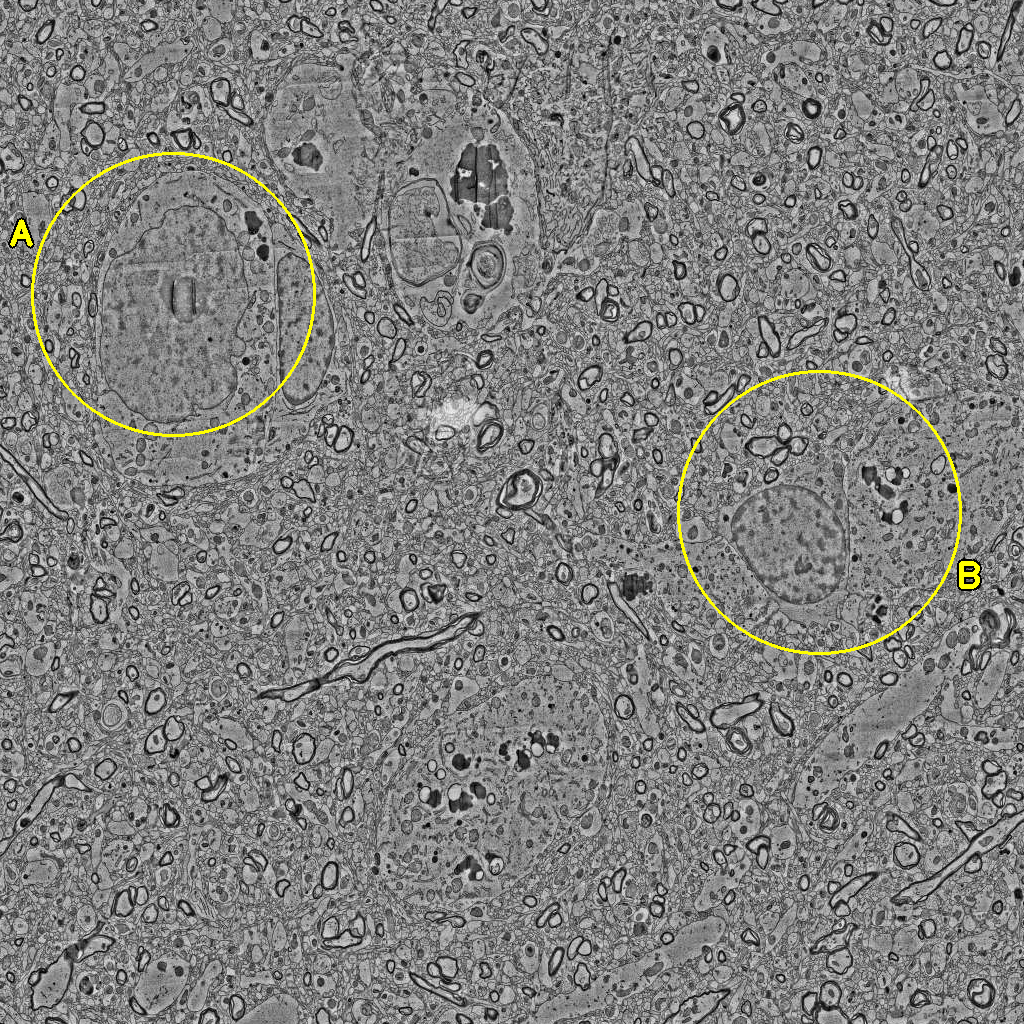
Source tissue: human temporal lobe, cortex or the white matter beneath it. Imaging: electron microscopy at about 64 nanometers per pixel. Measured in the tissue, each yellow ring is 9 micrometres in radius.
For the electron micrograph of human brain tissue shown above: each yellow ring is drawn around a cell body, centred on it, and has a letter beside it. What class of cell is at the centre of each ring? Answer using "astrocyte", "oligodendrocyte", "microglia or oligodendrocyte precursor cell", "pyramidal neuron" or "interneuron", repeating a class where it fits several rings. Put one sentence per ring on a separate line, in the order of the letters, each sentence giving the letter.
At ring A, the central cell is a pyramidal neuron.
At ring B, the central cell is an oligodendrocyte.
